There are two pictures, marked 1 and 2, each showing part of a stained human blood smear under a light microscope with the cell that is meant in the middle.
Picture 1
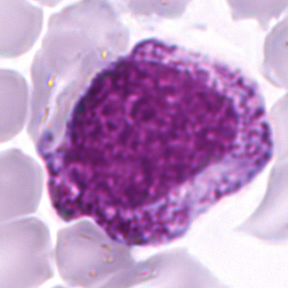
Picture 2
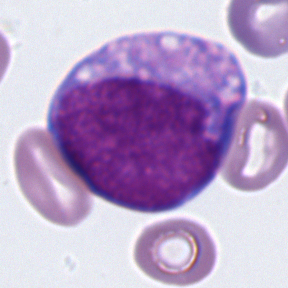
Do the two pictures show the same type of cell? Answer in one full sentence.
Yes, the two pictures both show promyelocytes.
